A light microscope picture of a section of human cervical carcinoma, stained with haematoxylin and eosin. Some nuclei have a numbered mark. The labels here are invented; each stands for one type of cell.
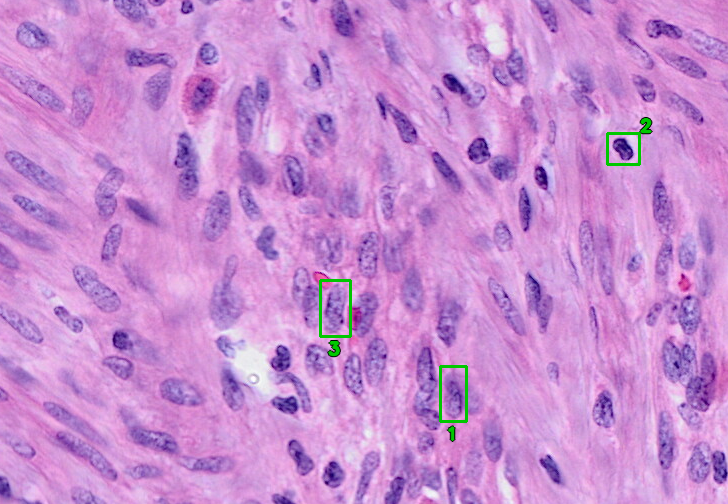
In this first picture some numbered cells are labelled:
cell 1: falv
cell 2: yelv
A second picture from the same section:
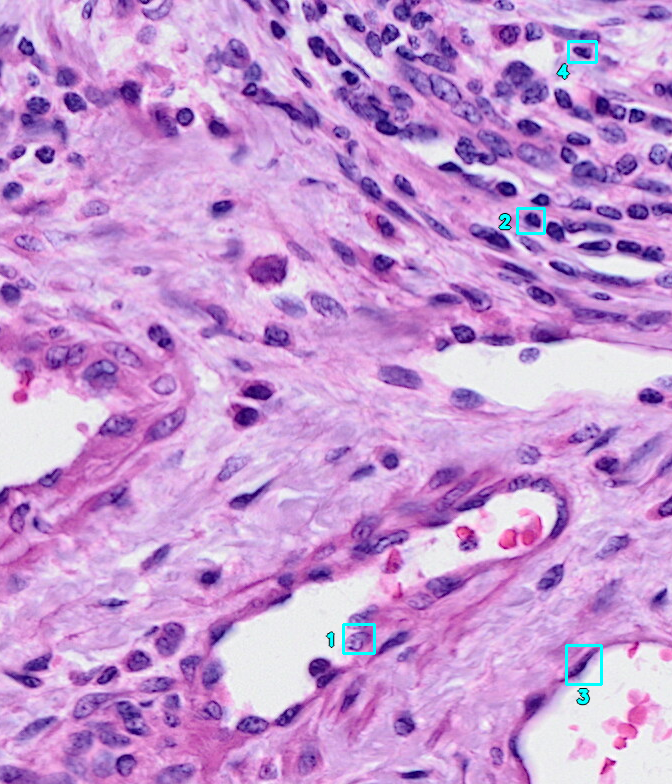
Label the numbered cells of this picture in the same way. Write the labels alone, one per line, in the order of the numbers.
falv
yelv
falv
yelv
